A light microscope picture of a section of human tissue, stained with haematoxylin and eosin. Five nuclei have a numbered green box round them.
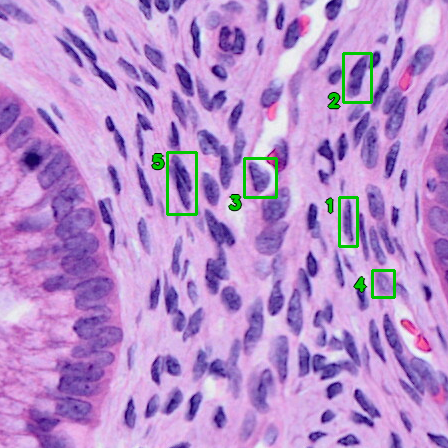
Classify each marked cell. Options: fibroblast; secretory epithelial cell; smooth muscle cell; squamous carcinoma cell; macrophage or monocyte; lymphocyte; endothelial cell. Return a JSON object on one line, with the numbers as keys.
{"1": "fibroblast", "2": "fibroblast", "3": "endothelial cell", "4": "endothelial cell", "5": "fibroblast"}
